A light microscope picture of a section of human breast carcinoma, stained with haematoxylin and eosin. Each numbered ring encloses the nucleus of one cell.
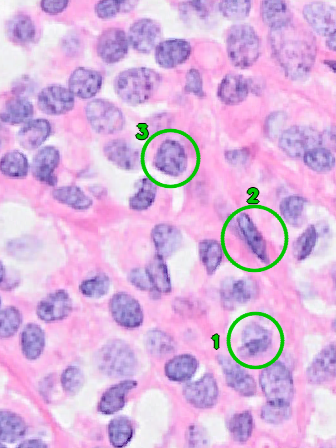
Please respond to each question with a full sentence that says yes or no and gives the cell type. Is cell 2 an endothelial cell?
Yes, on this slide, the cell with number 2 is an endothelial cell.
